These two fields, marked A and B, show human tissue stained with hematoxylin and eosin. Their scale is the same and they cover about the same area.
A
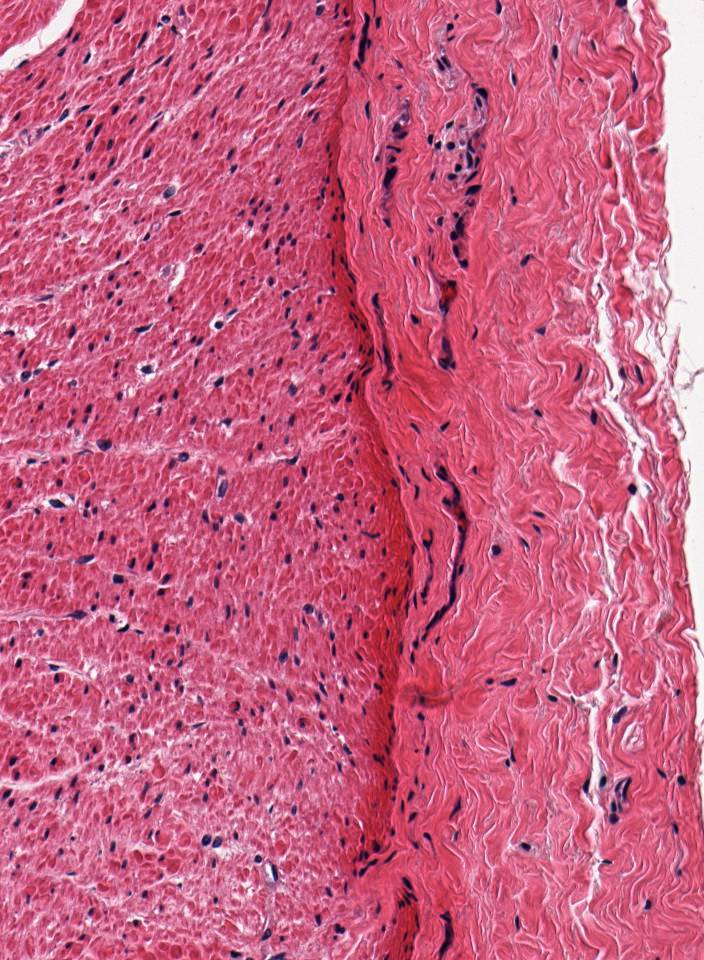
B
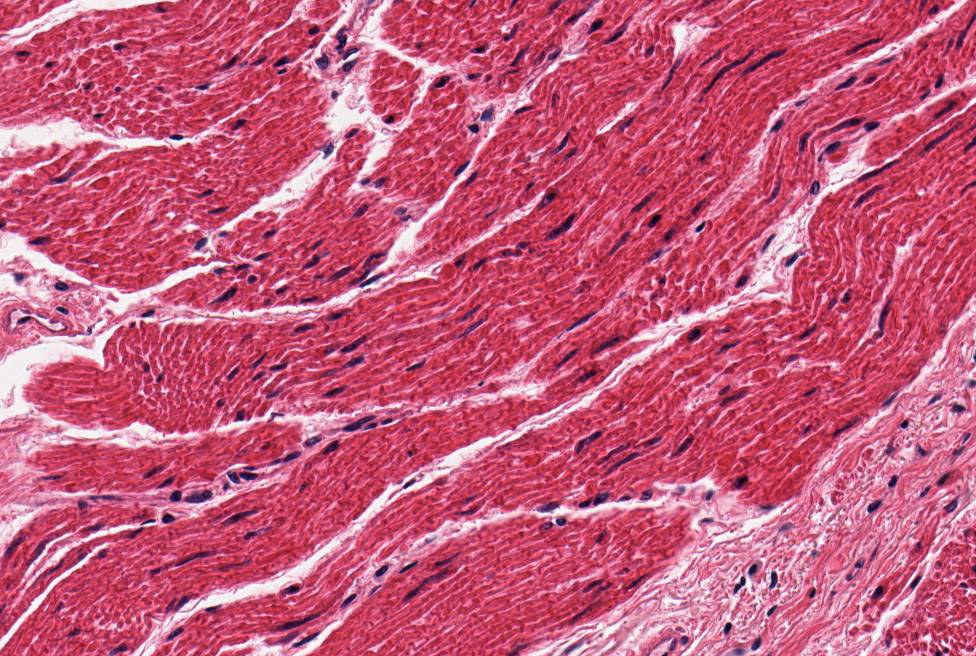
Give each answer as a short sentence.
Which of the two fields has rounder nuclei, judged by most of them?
The nuclei are rounder in field A.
